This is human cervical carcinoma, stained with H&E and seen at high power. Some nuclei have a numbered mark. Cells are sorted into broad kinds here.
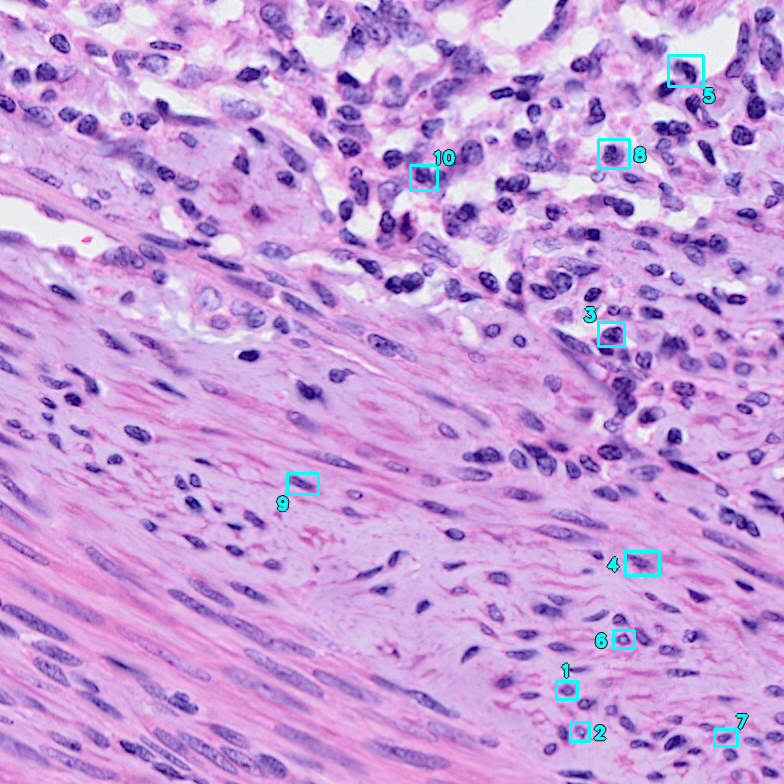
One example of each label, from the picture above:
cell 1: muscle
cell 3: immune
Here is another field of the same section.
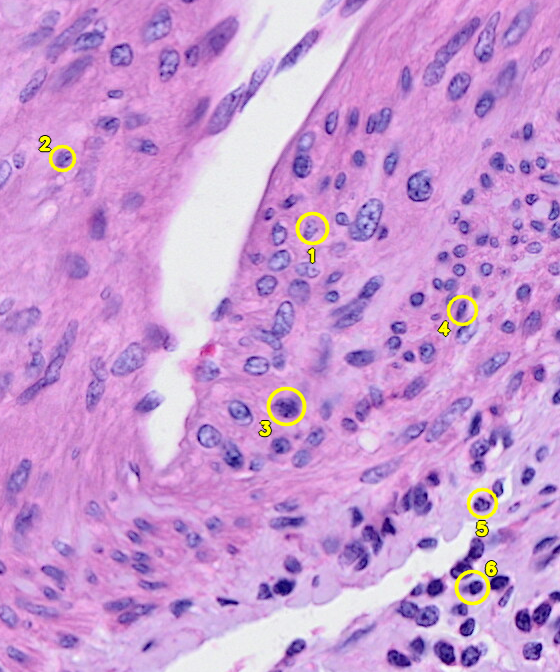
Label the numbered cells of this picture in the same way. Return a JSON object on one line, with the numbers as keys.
{"1": "muscle", "2": "muscle", "3": "muscle", "4": "muscle", "5": "immune", "6": "immune"}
